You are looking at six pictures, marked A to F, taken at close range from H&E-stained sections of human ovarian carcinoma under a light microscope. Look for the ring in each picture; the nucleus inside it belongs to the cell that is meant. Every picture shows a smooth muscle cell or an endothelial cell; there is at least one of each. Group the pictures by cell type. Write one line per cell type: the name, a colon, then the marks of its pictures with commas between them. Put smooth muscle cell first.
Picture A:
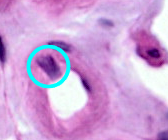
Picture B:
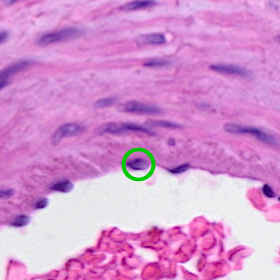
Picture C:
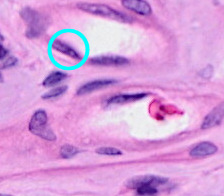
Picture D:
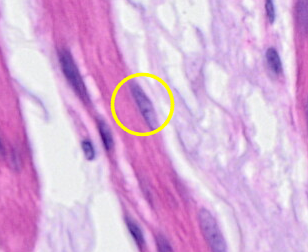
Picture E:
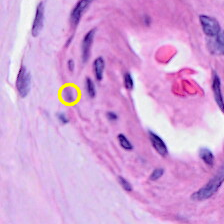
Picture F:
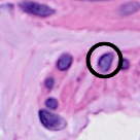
smooth muscle cell: D, E, F
endothelial cell: A, B, C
